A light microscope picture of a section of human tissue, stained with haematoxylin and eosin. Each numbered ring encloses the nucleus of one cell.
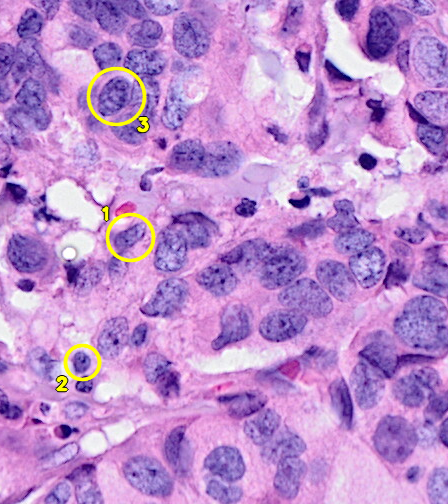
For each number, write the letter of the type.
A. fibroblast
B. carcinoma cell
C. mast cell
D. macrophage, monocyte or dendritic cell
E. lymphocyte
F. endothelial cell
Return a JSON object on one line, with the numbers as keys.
{"1": "F", "2": "E", "3": "B"}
